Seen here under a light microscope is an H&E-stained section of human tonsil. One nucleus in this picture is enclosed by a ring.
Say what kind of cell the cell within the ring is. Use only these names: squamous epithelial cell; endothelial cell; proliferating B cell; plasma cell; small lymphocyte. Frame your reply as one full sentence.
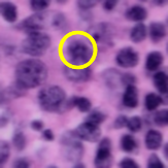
Recorded by type, the cell within the ring is a proliferating B cell.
